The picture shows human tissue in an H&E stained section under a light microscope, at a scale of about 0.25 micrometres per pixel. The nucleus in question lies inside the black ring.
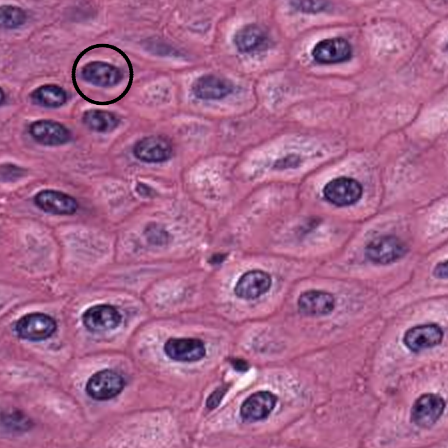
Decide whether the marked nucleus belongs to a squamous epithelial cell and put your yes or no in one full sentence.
Yes, the cell that houses the marked nucleus is a squamous epithelial cell.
